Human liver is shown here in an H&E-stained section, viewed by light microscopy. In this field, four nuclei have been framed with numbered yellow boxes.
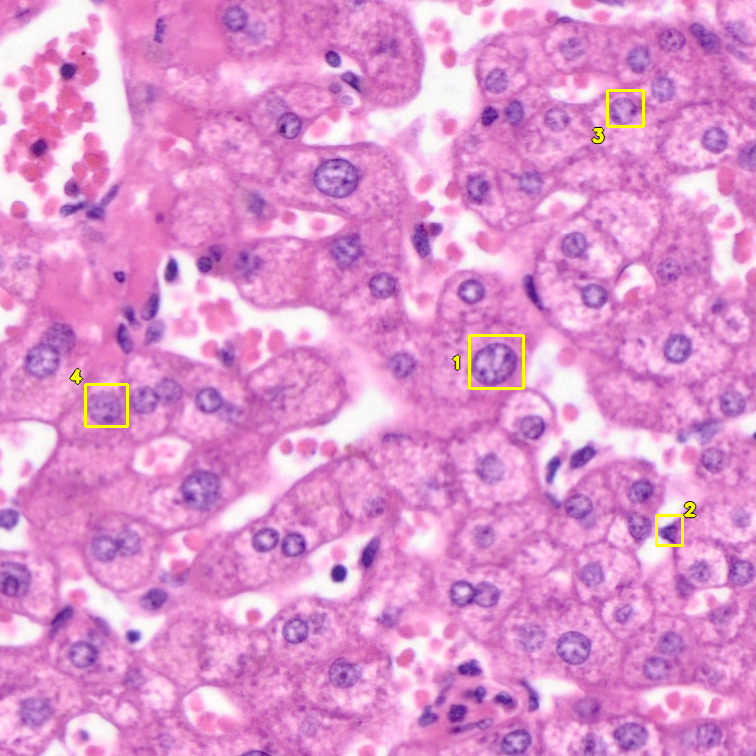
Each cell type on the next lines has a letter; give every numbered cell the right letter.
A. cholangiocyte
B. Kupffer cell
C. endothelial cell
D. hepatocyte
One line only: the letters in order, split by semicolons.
D; C; D; D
